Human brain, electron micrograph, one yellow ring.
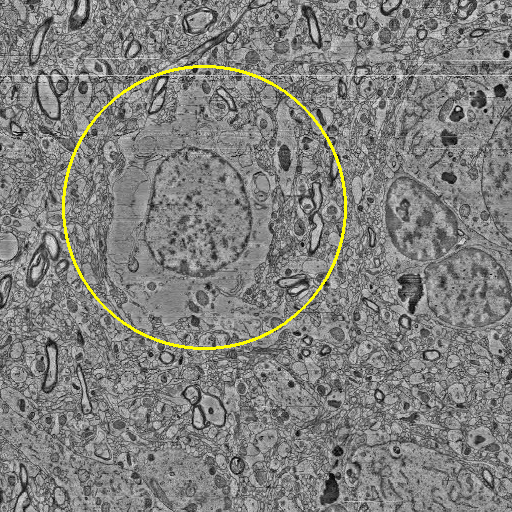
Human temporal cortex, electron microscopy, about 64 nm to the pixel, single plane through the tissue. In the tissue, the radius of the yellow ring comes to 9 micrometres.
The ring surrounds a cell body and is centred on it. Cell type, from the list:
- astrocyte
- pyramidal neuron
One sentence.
The yellow ring circles an astrocyte.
